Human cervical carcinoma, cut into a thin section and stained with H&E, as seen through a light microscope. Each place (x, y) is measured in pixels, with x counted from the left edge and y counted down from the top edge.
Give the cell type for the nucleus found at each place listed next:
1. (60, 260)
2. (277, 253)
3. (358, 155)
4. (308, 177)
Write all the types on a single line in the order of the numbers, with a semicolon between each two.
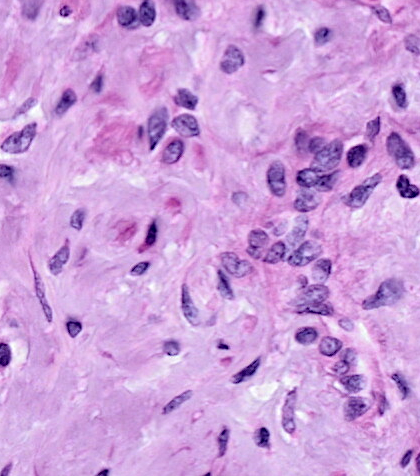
fibroblast; endothelial cell; lymphocyte; endothelial cell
